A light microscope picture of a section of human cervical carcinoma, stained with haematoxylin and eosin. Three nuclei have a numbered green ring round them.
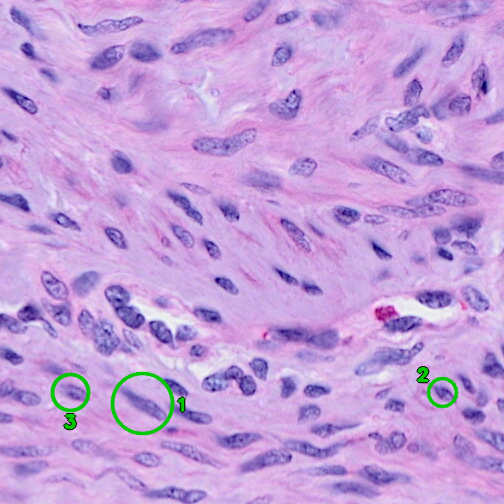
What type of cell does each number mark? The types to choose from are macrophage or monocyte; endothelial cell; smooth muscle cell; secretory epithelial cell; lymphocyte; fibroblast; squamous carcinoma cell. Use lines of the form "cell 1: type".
cell 1: fibroblast
cell 2: smooth muscle cell
cell 3: smooth muscle cell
